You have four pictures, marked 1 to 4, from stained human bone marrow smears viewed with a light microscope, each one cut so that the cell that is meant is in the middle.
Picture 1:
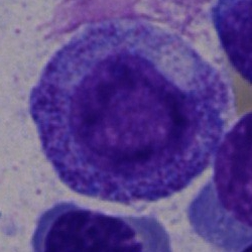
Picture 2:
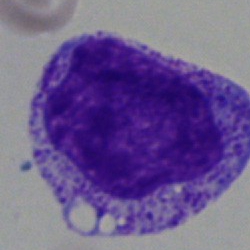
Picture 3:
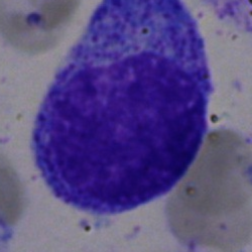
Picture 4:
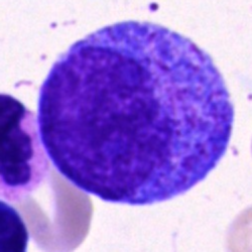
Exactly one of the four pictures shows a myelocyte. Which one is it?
2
